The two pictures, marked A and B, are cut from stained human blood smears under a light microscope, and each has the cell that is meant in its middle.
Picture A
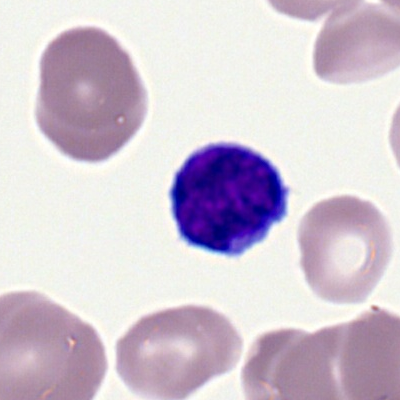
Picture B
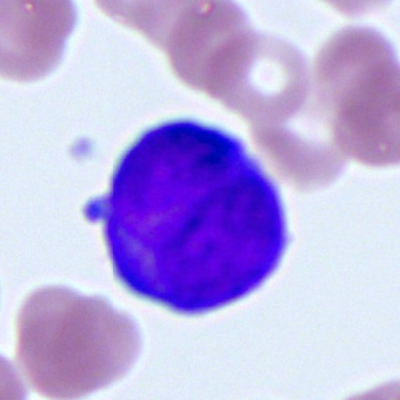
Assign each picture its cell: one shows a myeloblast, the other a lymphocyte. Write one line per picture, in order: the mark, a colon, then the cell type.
A: lymphocyte
B: myeloblast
